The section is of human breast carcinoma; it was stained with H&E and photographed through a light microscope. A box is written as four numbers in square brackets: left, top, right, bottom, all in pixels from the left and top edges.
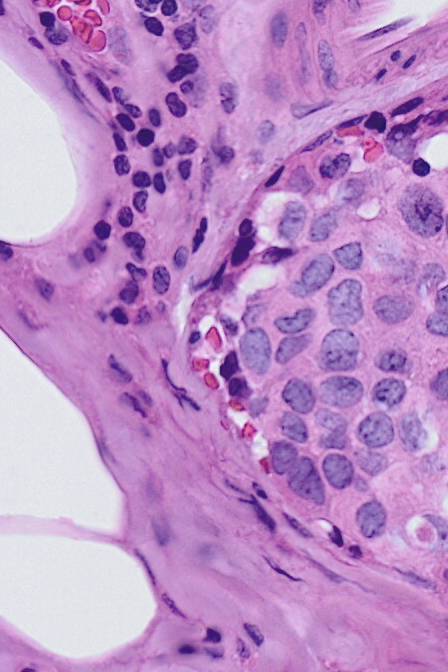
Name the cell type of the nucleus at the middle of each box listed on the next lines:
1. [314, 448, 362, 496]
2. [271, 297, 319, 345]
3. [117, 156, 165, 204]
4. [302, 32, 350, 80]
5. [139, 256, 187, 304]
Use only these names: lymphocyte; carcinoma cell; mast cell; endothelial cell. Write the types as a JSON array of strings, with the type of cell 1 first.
["carcinoma cell", "carcinoma cell", "lymphocyte", "endothelial cell", "mast cell"]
